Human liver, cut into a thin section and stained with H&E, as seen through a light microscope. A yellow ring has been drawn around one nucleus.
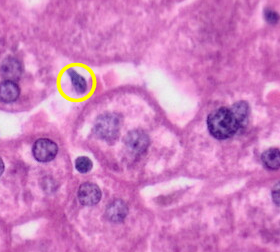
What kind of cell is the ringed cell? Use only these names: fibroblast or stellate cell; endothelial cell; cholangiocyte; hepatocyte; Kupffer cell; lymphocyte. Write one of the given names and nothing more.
lymphocyte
